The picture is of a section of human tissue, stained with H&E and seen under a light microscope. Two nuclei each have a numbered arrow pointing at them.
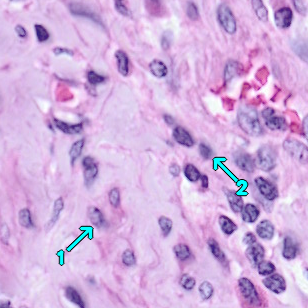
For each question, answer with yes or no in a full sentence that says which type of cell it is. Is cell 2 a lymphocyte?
Yes, it checks out; the cell labelled 2 is a lymphocyte.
